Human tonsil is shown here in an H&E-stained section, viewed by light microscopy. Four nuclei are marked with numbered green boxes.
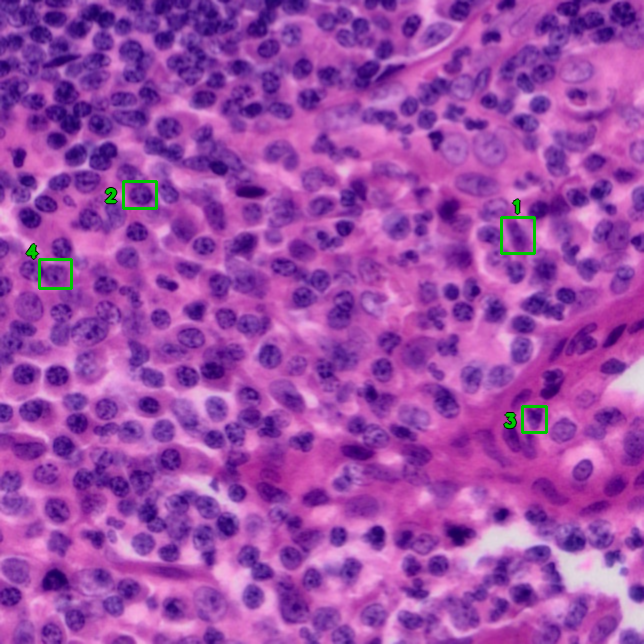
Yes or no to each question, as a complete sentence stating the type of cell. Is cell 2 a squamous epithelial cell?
No, the identification of cell 2 as a squamous epithelial cell is incorrect; it is a plasma cell.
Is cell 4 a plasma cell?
Yes, the cell that bears the number 4 is a plasma cell.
